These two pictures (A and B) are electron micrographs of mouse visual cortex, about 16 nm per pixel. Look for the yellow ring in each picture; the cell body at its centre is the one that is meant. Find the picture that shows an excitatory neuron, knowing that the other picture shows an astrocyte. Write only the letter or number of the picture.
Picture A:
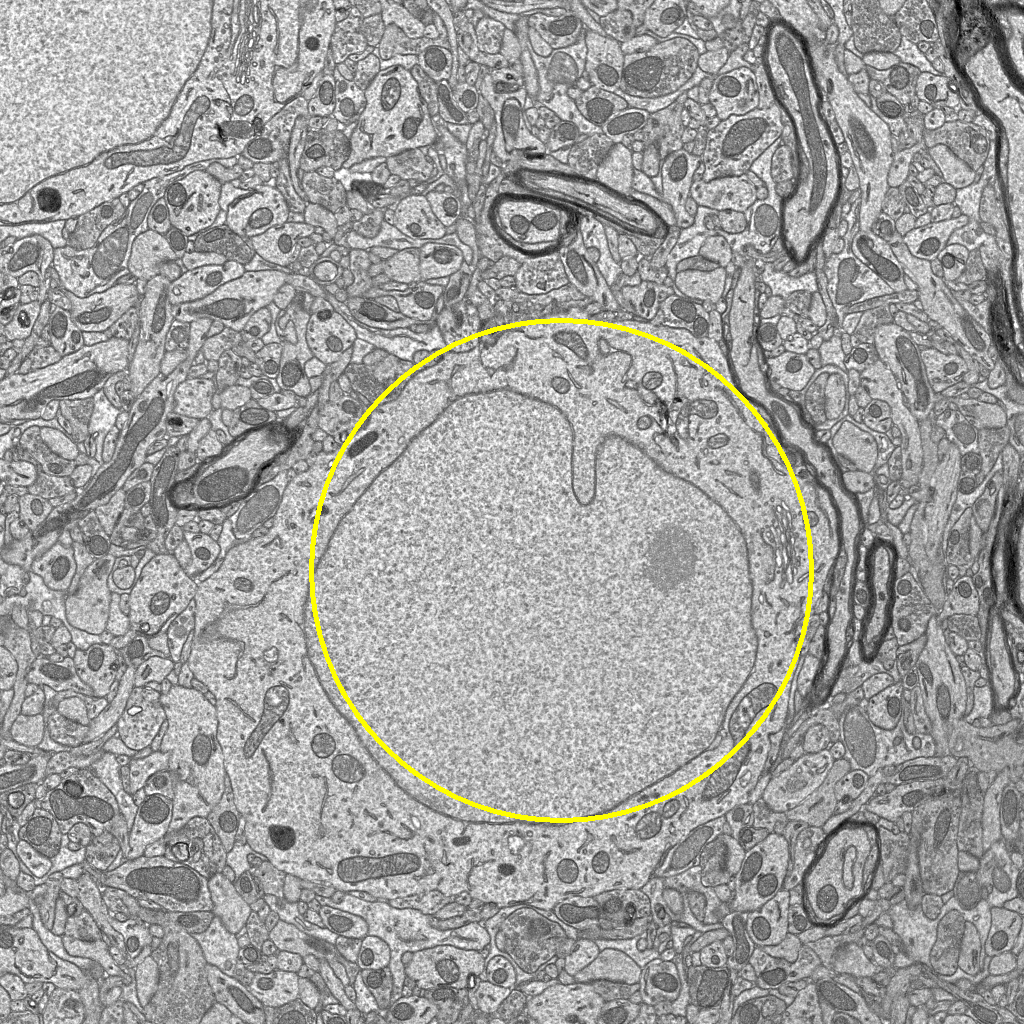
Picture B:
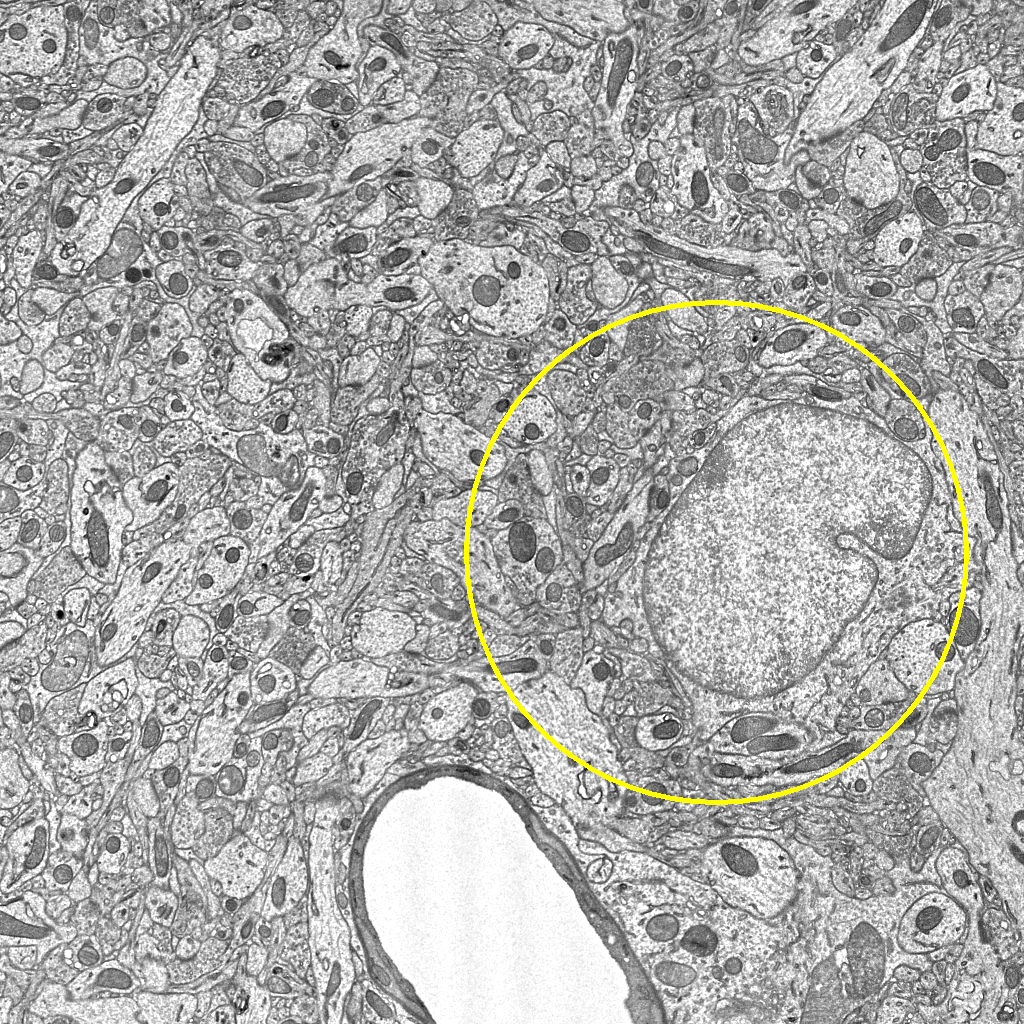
A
